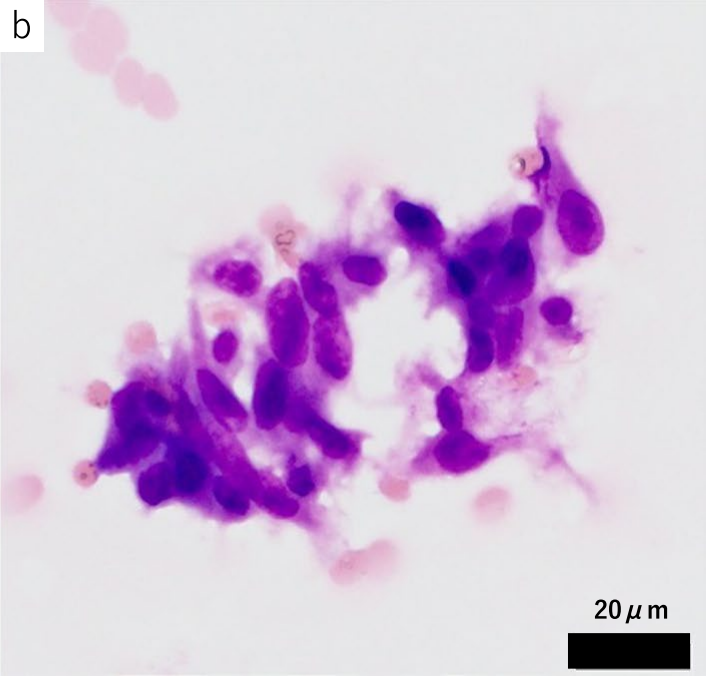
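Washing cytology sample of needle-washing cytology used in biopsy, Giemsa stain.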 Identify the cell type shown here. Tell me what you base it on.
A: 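Loose cluster of cells with oval to elongated purple nuclei. Nuclei vary in size and shape and overlap. Pale purple cytoplasm with ill-defined borders, some cells tapering. On this evidence: Spindle-shaped and loosely connective atypical cells.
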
